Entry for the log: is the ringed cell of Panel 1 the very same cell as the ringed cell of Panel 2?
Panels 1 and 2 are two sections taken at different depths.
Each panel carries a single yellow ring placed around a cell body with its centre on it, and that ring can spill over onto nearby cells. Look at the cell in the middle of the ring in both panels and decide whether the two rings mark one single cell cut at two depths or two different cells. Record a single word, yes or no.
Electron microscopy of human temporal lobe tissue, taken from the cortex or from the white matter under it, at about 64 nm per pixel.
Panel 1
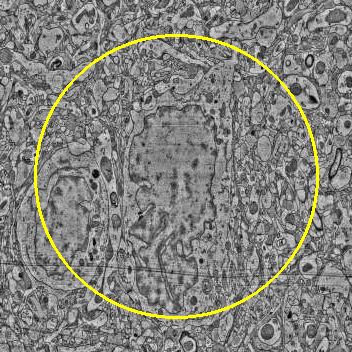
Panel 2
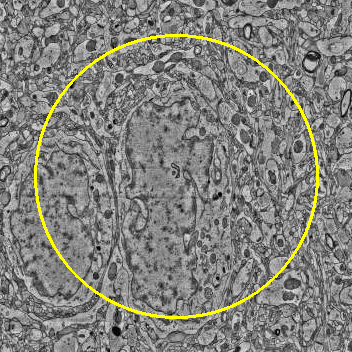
yes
